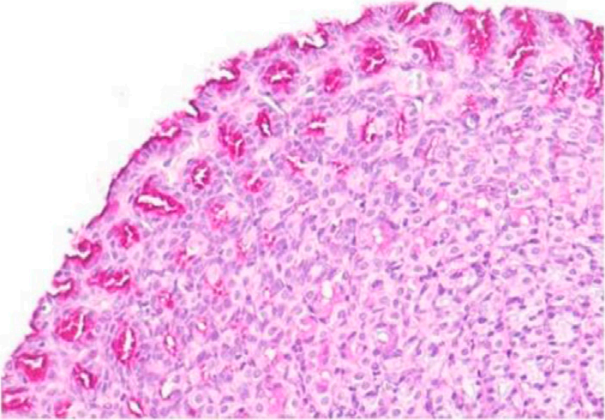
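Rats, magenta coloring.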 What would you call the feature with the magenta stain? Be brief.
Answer: Gastric mucus glands.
